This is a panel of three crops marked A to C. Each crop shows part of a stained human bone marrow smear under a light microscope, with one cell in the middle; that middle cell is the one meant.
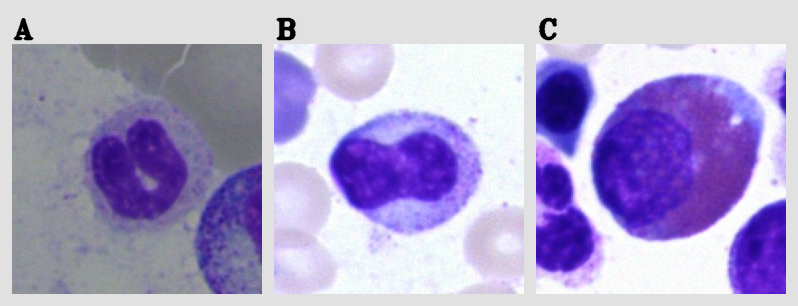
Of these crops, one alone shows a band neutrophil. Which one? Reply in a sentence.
Of the crops given, a band neutrophil is found in crop A.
